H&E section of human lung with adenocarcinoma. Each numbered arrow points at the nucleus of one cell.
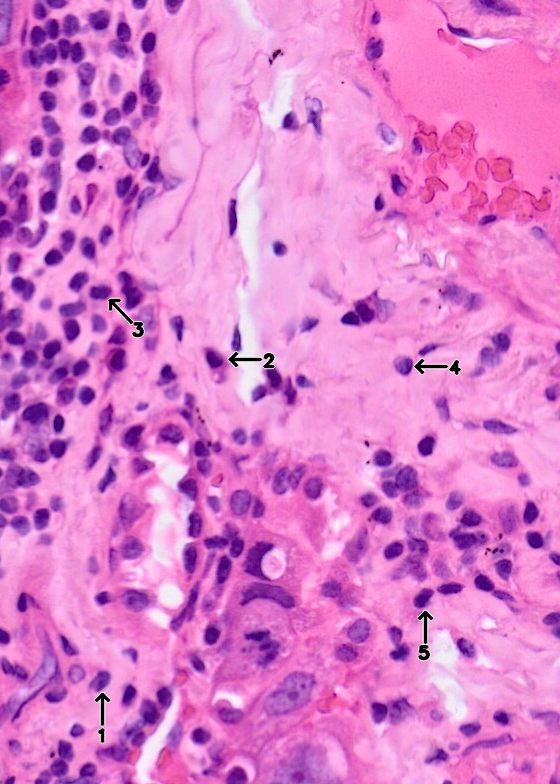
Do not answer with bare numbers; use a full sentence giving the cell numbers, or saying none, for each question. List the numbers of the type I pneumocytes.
Between them, the numbered cells include no type I pneumocytes.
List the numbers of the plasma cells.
Only the nucleus marked 2 is that of a plasma cell.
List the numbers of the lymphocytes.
The cells numbered 1, 3 and 5 are of the kind known as lymphocytes.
